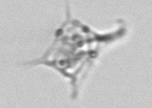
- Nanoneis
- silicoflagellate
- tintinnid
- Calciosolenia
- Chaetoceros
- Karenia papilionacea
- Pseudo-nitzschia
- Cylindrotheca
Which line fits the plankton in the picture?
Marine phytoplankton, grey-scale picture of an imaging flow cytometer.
silicoflagellate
